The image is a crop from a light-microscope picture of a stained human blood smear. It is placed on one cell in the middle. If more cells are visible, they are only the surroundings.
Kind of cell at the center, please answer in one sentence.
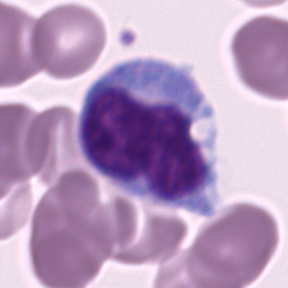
For this crop, the central cell is a monocyte.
